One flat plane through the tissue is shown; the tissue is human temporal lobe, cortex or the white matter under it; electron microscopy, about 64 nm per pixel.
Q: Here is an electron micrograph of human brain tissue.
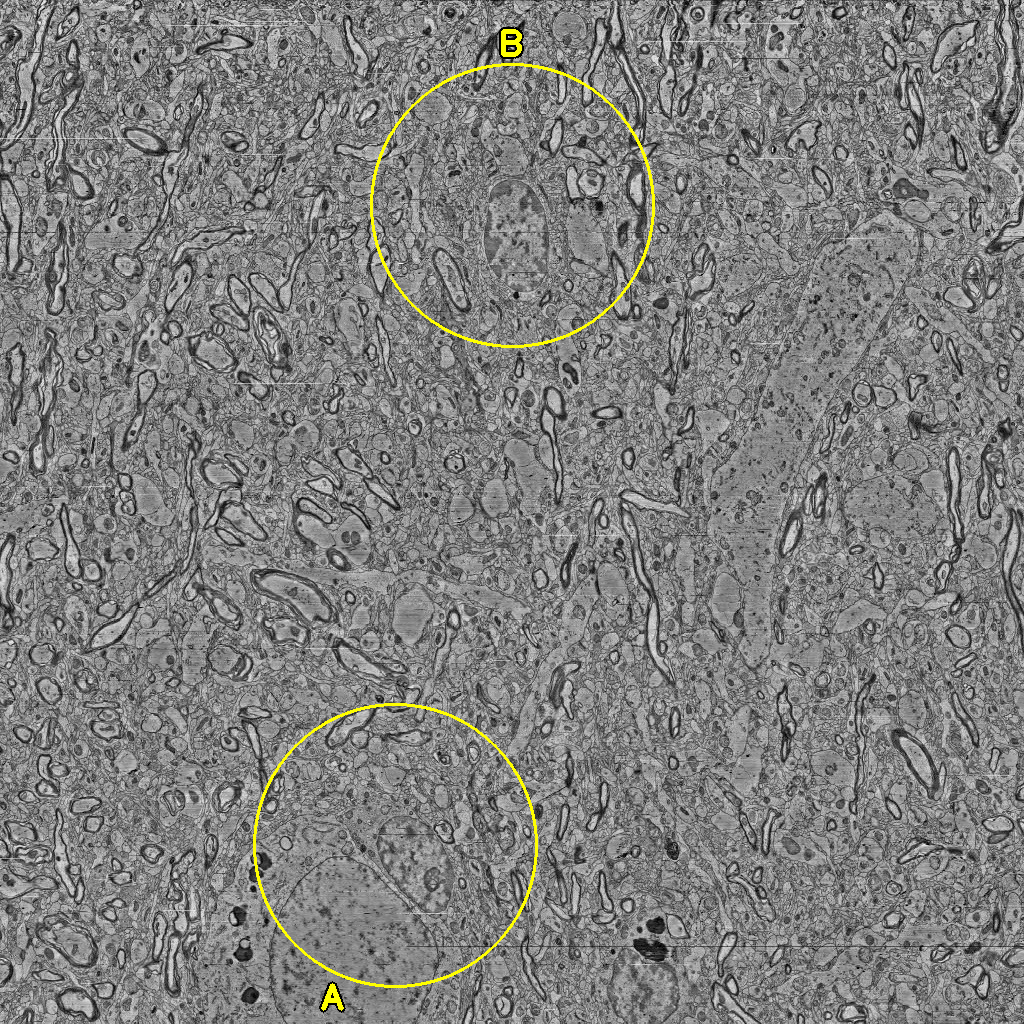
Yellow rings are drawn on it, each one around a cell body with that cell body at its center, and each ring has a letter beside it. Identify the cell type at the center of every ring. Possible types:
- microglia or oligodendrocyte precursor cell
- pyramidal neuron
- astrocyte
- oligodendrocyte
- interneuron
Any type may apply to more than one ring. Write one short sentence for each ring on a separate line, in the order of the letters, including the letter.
Centered in ring A is an oligodendrocyte.
Centered in ring B is a microglial cell or oligodendrocyte precursor cell.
